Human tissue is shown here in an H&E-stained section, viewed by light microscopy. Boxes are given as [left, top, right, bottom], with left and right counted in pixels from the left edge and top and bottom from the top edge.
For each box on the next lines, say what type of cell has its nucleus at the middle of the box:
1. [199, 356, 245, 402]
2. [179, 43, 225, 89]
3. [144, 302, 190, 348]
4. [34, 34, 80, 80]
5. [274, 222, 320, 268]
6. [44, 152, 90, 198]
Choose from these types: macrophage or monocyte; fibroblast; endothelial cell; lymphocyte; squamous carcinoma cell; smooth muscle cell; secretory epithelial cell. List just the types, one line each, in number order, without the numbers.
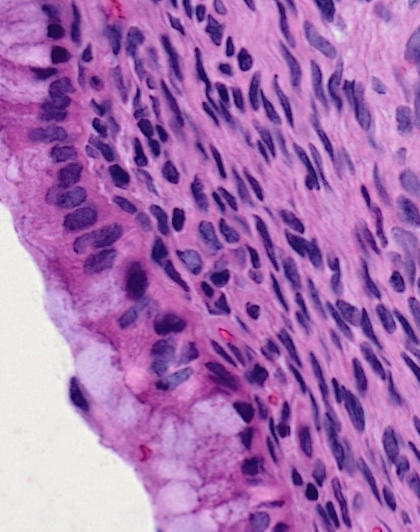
secretory epithelial cell
fibroblast
secretory epithelial cell
secretory epithelial cell
fibroblast
secretory epithelial cell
